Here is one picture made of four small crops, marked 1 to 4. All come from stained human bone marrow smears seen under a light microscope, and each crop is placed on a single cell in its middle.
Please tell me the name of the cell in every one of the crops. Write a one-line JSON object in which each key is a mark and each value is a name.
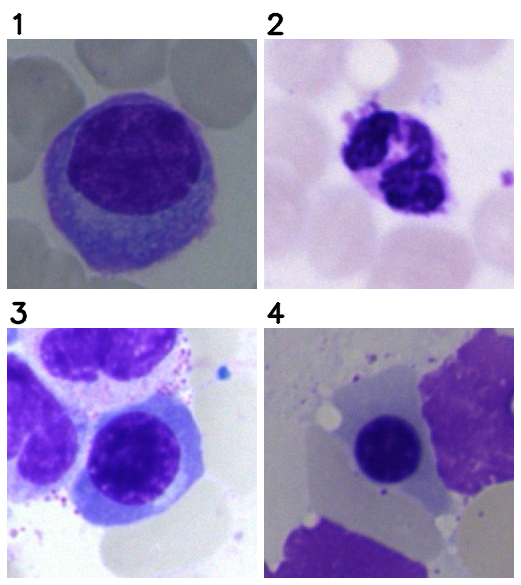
{"1": "plasma cell", "2": "segmented neutrophil", "3": "erythroblast", "4": "erythroblast"}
